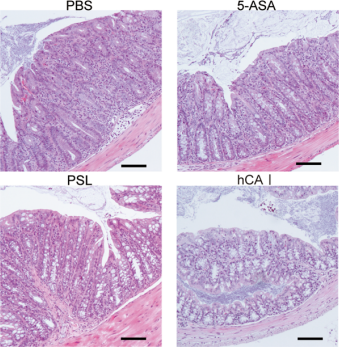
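Four sections of colonic mucosa stained pink and purple show tubular crypts standing side by side above a pink band of smooth muscle. In some sections the lamina propria between the crypts is crowded with small dark purple nuclei and the mucosa is taller, which fits inflammatory cell infiltration with an increase in mucosal height, while in others the crypts are more regular and less crowded.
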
